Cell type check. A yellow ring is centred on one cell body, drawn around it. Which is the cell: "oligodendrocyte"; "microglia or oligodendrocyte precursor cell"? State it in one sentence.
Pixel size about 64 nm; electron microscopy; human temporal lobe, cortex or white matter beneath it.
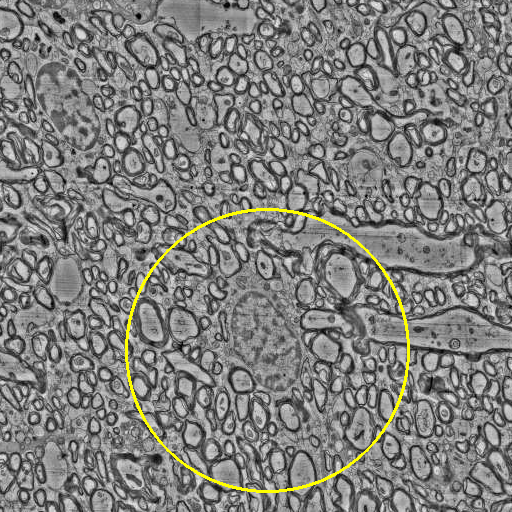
The cell body at the ring's centre belongs to an oligodendrocyte.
